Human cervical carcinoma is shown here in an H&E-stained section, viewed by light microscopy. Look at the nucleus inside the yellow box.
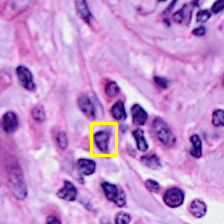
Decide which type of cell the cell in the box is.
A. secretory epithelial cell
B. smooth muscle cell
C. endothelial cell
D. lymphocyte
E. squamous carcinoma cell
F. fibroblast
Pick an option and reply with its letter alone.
D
